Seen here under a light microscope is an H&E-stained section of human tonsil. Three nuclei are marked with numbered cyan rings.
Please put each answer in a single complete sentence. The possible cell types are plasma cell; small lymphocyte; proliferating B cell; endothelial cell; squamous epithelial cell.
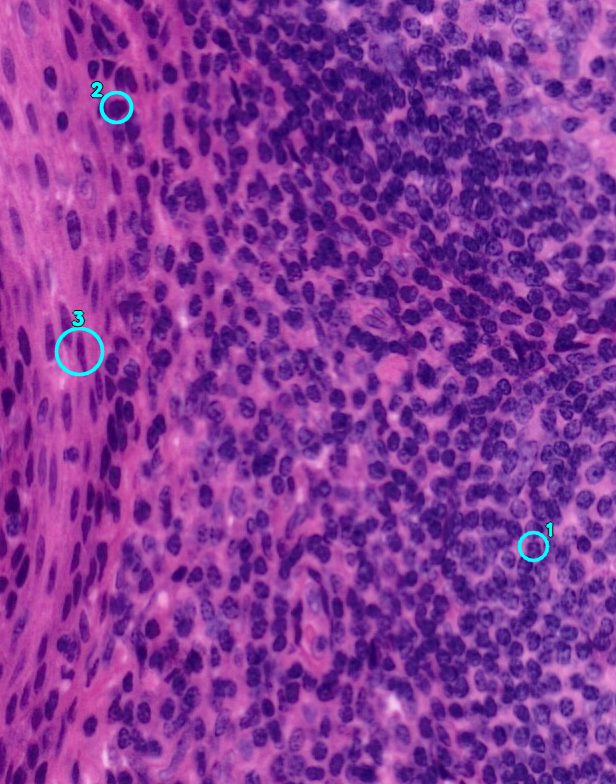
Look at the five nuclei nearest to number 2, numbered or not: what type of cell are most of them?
Of the five nuclei nearest to number 2, most belong to squamous epithelial cells.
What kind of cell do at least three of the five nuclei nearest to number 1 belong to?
Around number 1, most of the five nearest nuclei are those of small lymphocytes.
